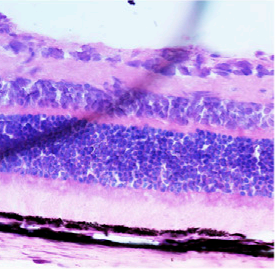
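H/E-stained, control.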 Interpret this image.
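This is a cross section of retina in which the layers stand in order: a thin row of ganglion cells at the inner edge, a band of purple inner nuclear layer nuclei, then a thick, densely packed outer nuclear layer of small round dark nuclei. Pale pink plexiform and photoreceptor segment layers separate these bands, and a continuous black pigmented layer of pigment epithelium and choroid lines the outer side.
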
